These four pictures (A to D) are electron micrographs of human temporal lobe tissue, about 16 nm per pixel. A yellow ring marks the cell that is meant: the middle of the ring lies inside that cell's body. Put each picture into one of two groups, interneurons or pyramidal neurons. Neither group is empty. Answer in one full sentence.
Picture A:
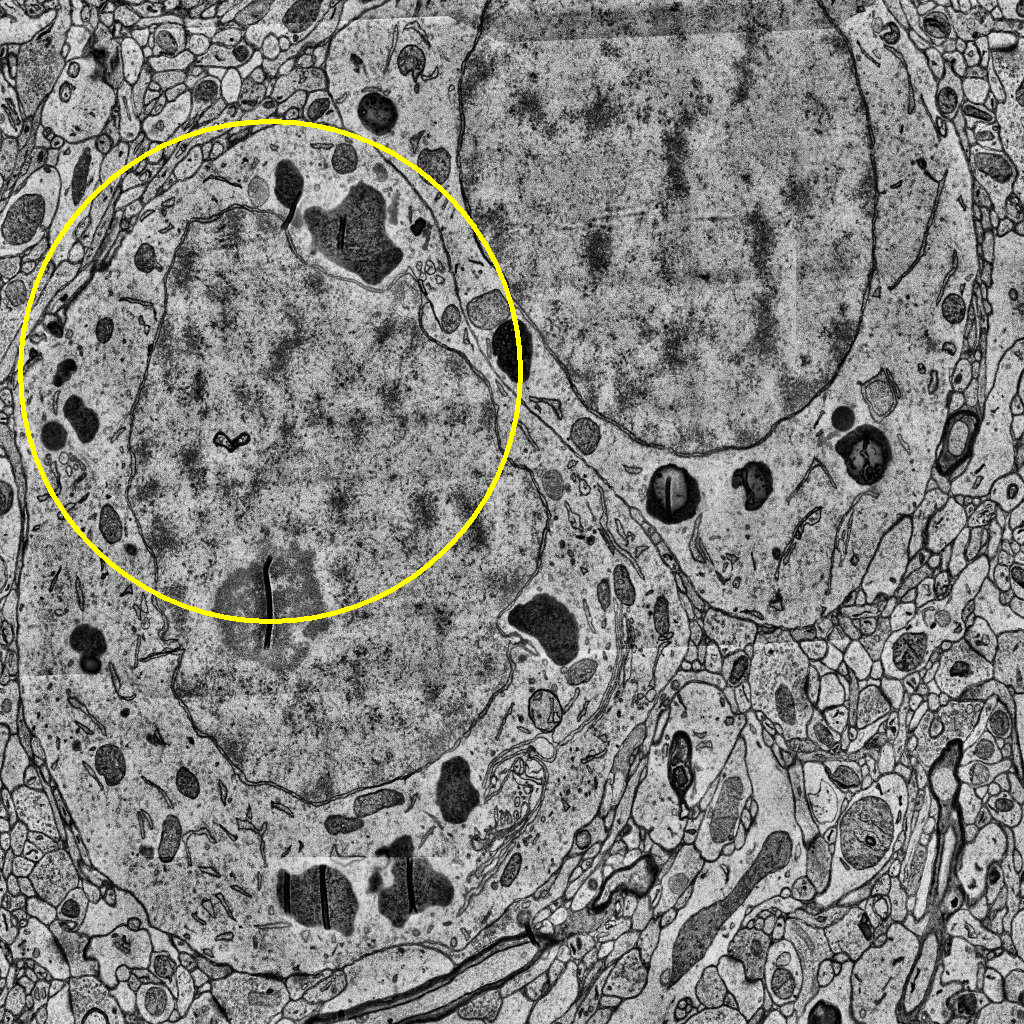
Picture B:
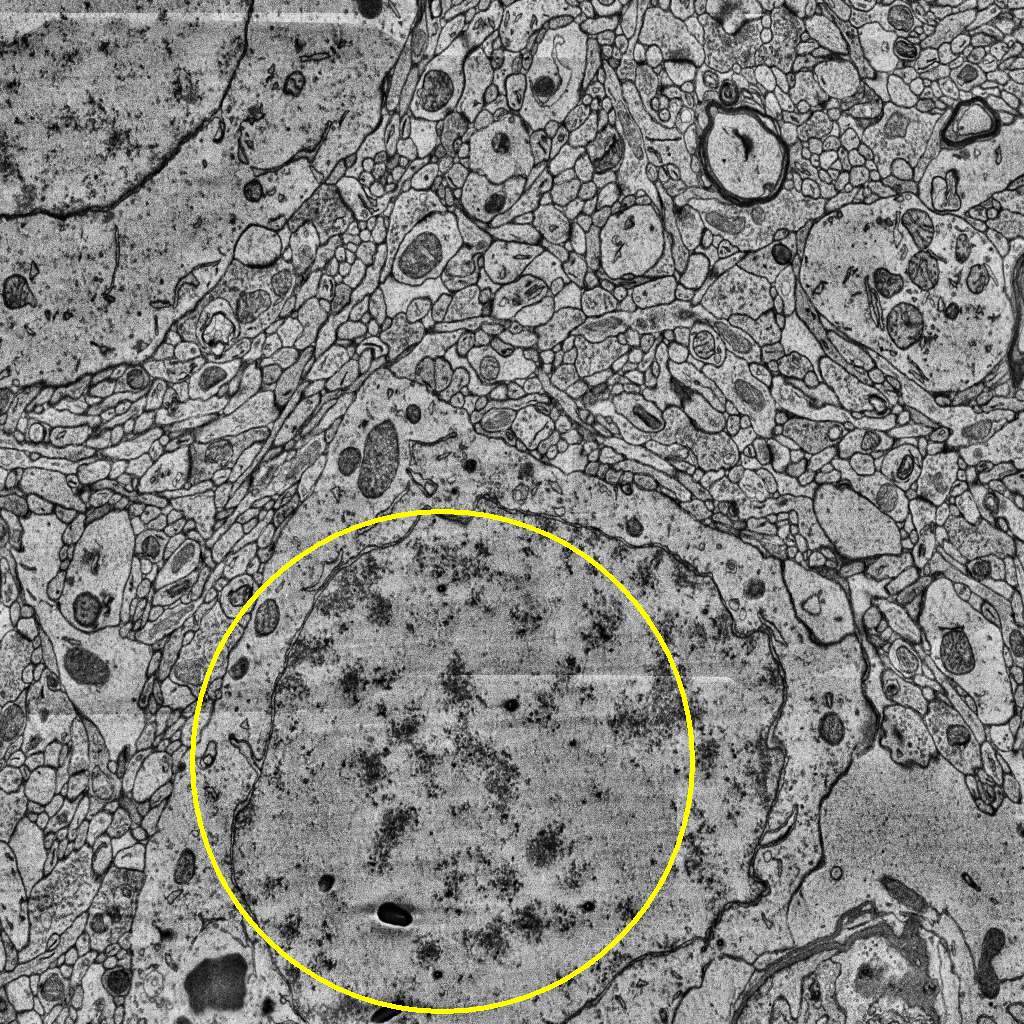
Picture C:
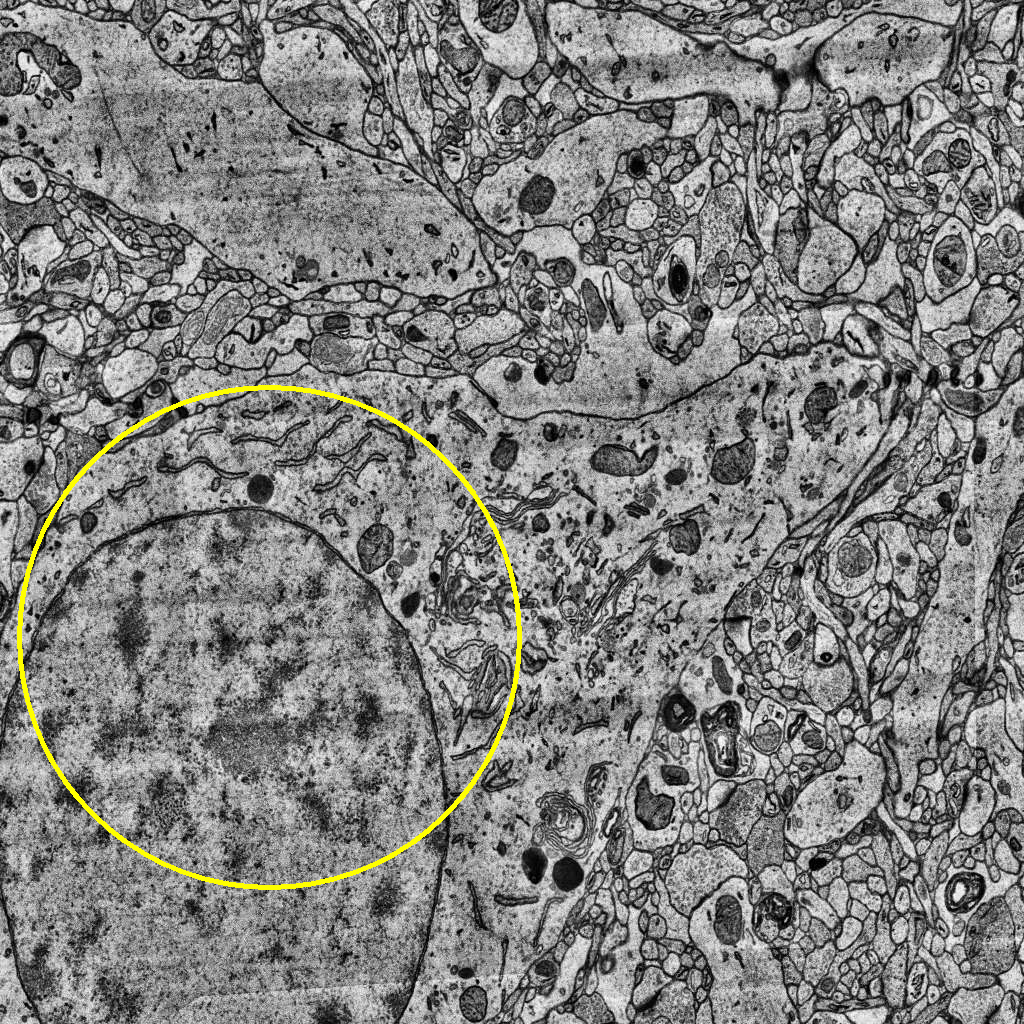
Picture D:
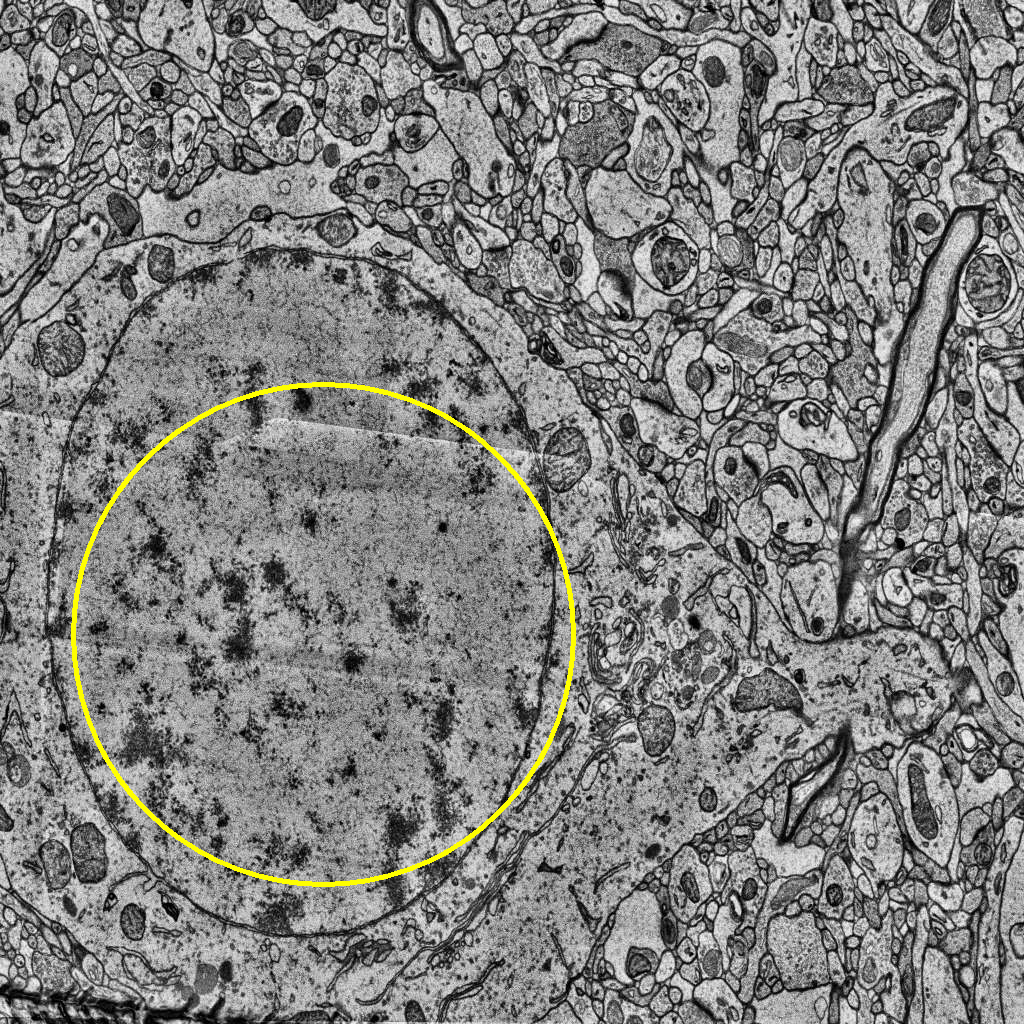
Pictures A and B show interneurons; pictures C and D show pyramidal neurons.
